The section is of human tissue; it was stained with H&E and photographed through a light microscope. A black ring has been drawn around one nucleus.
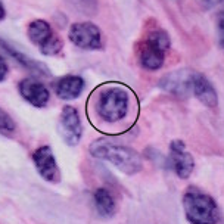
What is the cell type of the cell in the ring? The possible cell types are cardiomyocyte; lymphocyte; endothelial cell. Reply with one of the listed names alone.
lymphocyte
